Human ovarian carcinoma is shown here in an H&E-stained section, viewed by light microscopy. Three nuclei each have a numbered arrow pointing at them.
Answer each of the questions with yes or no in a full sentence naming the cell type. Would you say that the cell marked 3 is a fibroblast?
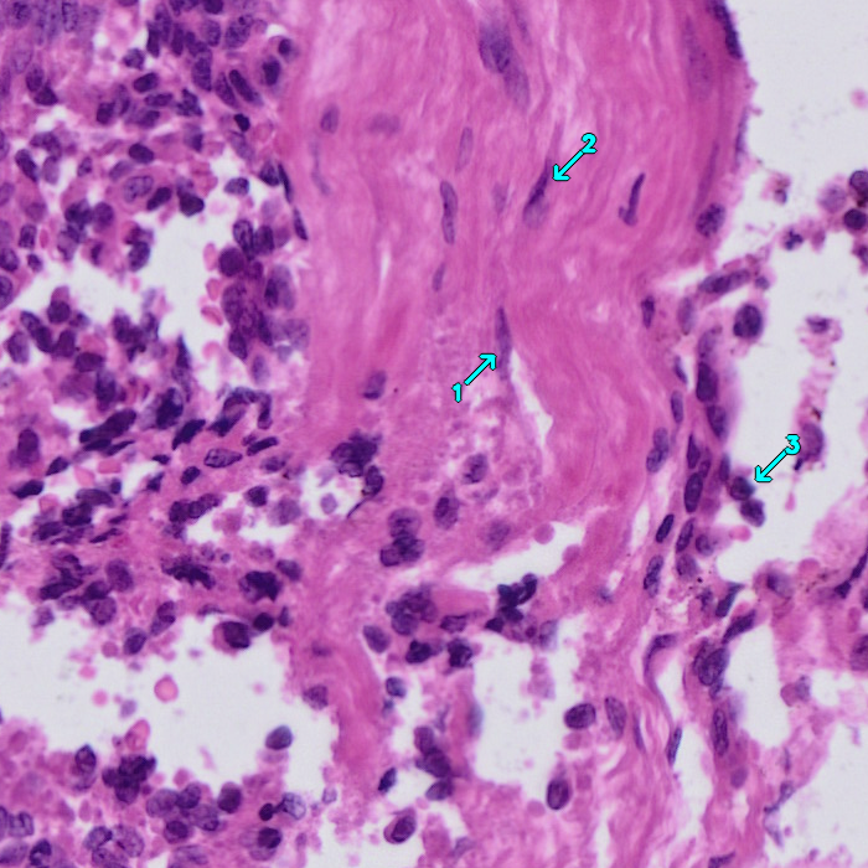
No, cell 3 is not a fibroblast. It is a carcinoma cell.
